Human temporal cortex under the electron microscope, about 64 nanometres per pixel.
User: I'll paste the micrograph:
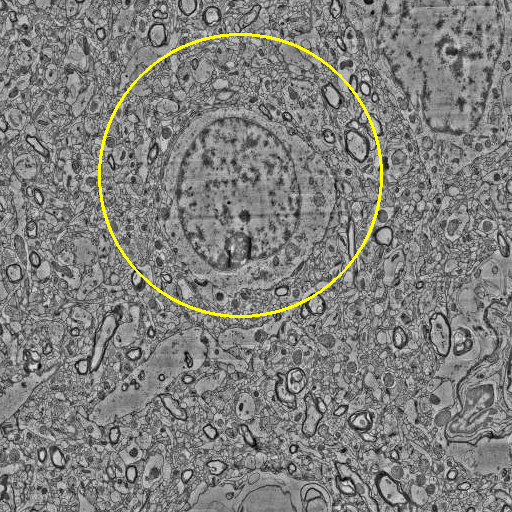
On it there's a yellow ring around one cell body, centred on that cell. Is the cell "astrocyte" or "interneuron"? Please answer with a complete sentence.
The cell ringed in yellow is an interneuron.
